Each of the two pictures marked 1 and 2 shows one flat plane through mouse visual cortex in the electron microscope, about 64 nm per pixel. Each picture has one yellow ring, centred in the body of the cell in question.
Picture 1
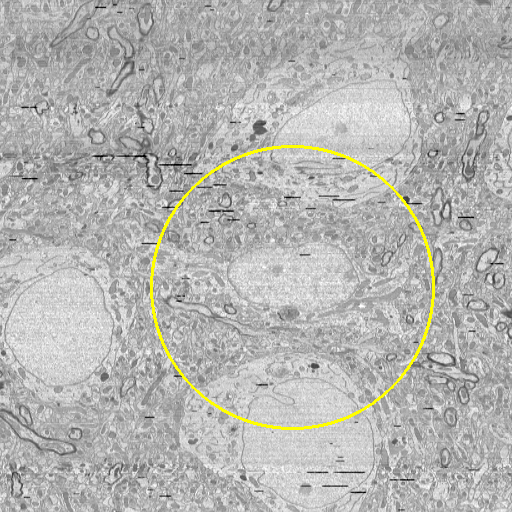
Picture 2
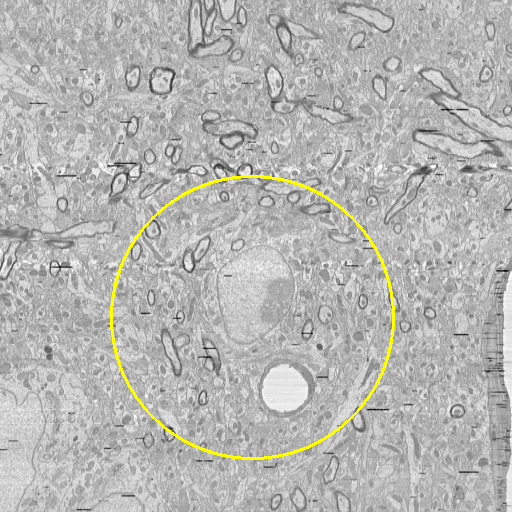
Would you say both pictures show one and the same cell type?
Yes; the cells in both pictures are astrocytes.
